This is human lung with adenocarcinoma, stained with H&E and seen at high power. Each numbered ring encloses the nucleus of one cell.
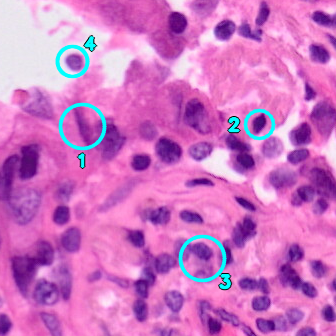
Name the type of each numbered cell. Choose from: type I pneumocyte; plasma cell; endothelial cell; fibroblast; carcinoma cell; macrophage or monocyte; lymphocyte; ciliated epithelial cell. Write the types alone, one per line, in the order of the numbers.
carcinoma cell
lymphocyte
lymphocyte
lymphocyte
